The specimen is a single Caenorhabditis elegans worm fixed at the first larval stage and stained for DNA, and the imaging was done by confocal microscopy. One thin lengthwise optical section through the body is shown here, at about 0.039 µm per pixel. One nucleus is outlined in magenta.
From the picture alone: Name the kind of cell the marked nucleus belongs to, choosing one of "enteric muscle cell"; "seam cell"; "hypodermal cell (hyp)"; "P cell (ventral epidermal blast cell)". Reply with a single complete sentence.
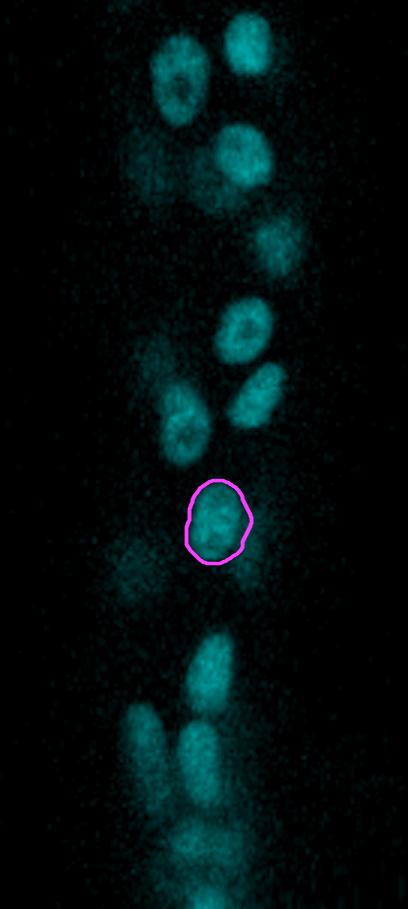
This nucleus is from a seam cell.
